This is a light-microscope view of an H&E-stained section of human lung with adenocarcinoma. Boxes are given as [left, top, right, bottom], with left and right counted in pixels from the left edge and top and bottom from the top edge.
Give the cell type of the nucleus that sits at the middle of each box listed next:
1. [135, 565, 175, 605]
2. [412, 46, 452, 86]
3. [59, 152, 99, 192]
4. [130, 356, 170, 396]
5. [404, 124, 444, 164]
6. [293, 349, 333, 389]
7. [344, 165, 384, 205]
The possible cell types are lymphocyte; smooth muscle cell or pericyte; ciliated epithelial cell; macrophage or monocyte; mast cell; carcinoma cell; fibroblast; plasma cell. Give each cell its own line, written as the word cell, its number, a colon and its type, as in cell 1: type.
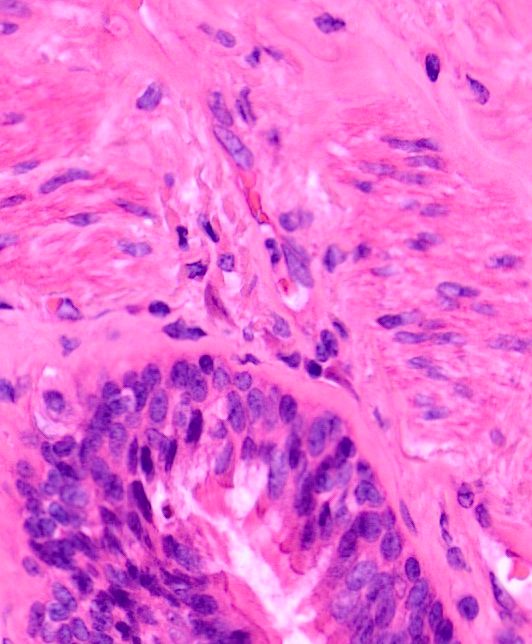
cell 1: ciliated epithelial cell
cell 2: mast cell
cell 3: smooth muscle cell or pericyte
cell 4: ciliated epithelial cell
cell 5: smooth muscle cell or pericyte
cell 6: lymphocyte
cell 7: smooth muscle cell or pericyte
